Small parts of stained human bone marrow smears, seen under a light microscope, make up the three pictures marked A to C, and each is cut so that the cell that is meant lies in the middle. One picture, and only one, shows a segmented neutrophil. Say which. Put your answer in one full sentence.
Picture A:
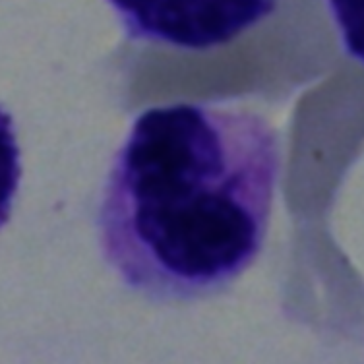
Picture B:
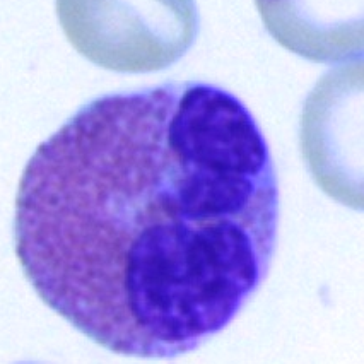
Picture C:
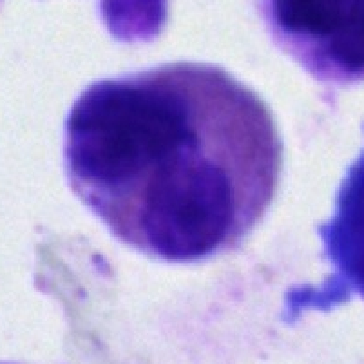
The cell in picture A is the segmented neutrophil.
